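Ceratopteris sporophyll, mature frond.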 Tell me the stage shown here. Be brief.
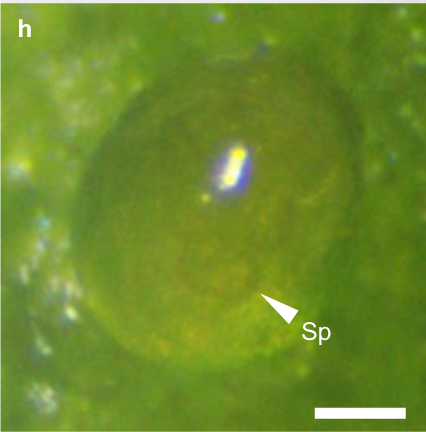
Post-meiotic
